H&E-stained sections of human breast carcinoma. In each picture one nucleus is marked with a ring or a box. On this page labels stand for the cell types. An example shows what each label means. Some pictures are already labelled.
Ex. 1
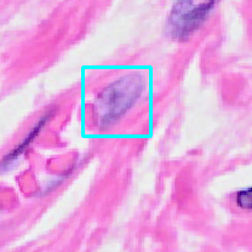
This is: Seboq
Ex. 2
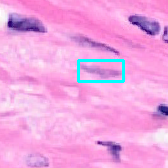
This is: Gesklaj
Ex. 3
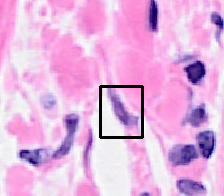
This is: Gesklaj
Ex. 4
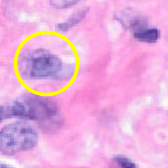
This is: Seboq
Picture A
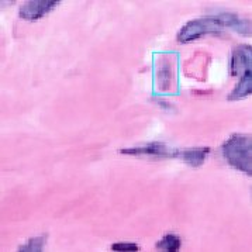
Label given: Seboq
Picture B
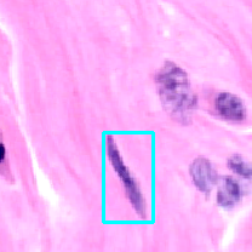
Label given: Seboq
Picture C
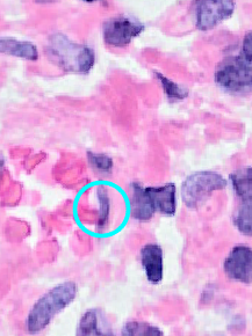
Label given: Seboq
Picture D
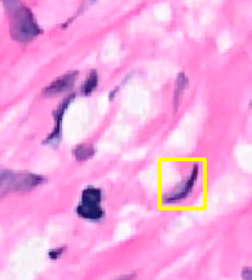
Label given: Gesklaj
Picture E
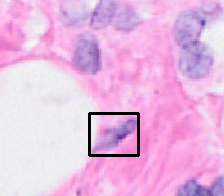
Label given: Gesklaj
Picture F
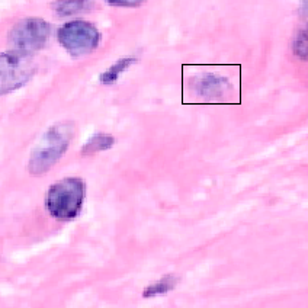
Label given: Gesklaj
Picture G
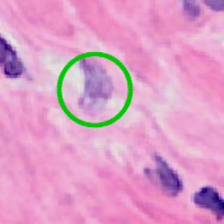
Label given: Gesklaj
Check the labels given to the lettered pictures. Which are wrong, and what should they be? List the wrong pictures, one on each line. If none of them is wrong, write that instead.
B: Gesklaj, not Seboq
